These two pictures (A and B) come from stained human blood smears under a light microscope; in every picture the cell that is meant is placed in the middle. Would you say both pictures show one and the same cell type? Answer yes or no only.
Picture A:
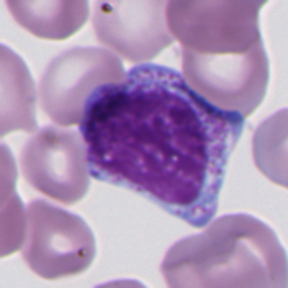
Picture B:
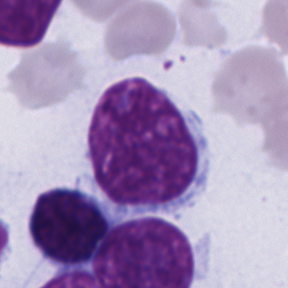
no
